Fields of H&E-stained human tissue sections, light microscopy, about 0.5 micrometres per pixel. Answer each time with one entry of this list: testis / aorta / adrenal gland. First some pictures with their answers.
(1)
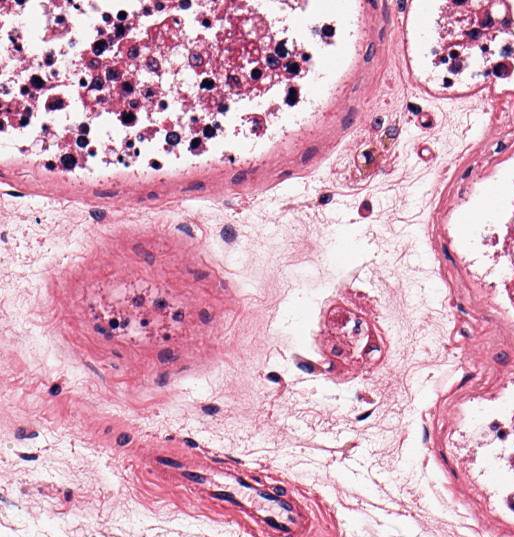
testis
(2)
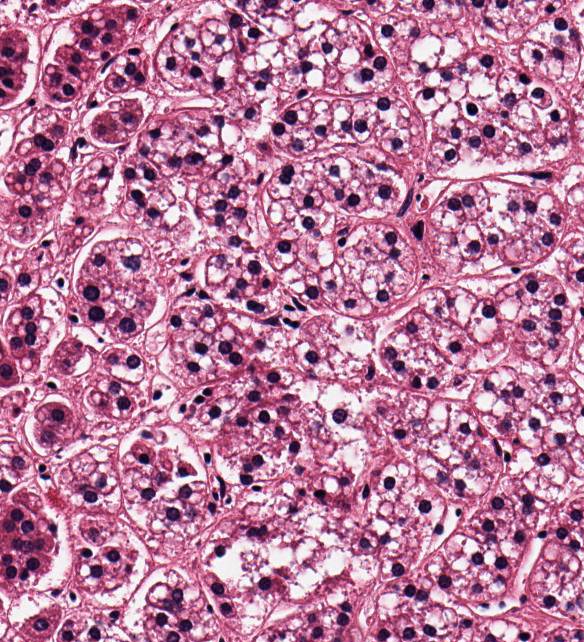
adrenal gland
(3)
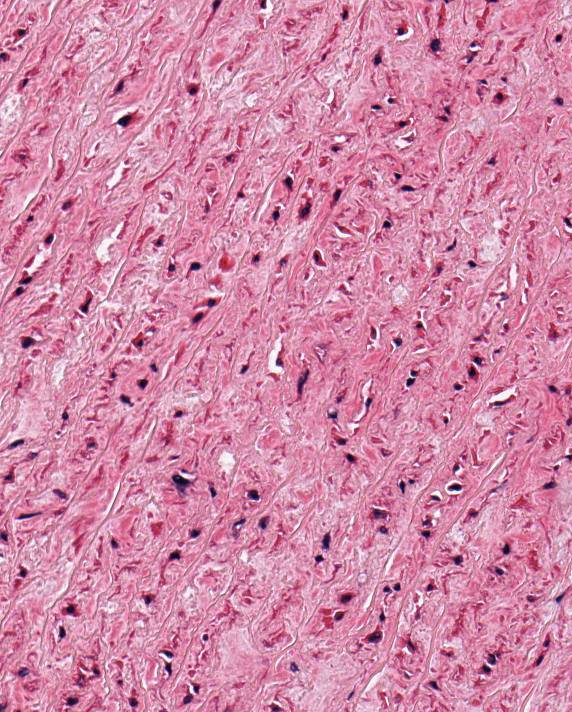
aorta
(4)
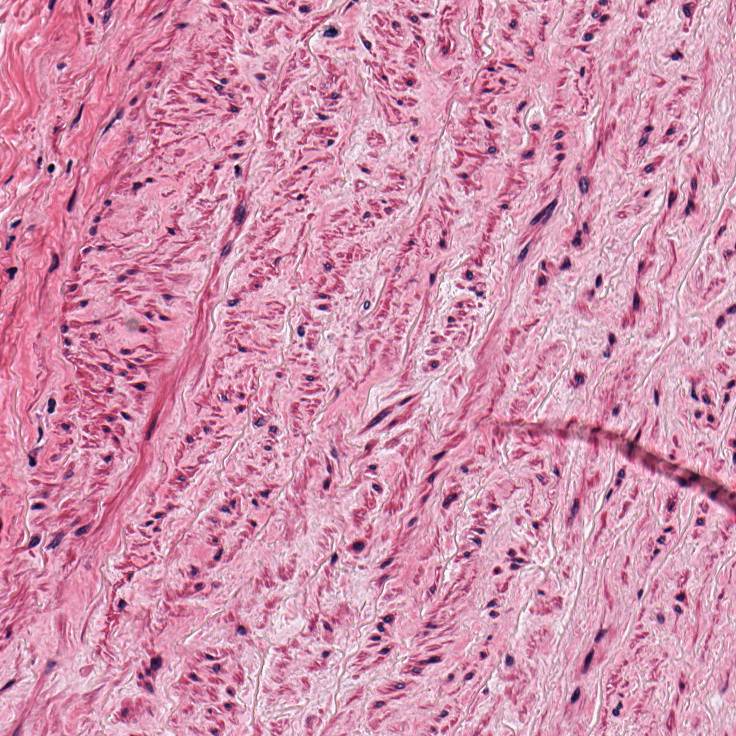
aorta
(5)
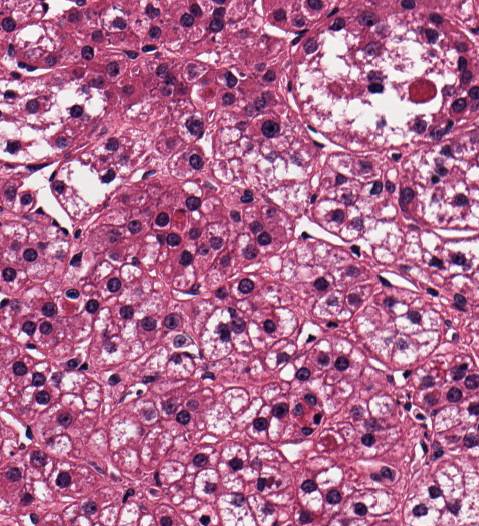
adrenal gland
